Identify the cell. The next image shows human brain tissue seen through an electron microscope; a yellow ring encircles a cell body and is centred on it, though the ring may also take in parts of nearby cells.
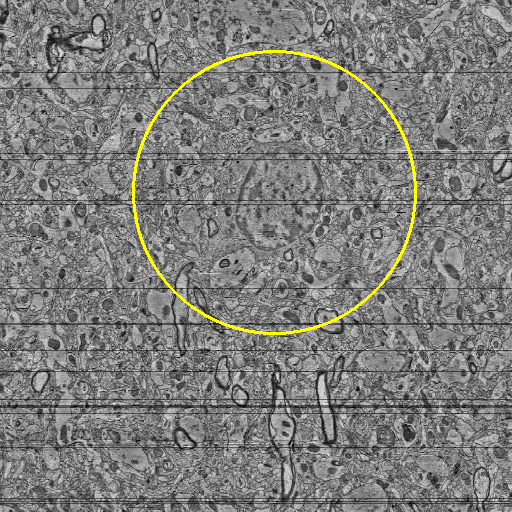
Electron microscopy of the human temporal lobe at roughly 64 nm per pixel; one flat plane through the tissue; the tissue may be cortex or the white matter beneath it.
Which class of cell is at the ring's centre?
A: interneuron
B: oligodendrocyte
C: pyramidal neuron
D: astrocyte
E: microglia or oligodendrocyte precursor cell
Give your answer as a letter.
B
